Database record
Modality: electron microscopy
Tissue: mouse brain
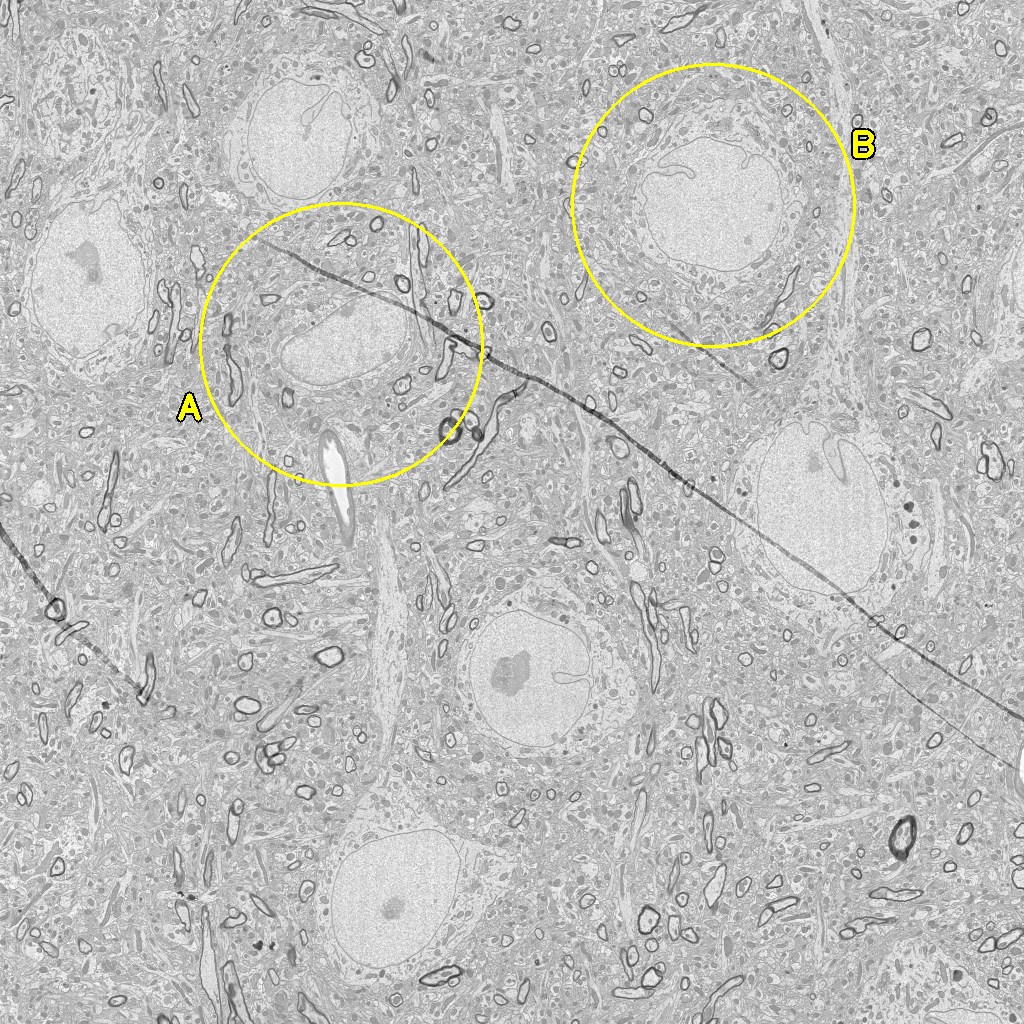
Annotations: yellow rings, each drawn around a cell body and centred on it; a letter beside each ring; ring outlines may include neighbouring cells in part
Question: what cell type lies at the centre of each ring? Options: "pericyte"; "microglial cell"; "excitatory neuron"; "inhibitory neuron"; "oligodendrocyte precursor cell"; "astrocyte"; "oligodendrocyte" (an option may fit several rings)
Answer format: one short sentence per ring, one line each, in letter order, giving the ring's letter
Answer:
Ring A corresponds to an astrocyte.
Ring B corresponds to an excitatory neuron.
